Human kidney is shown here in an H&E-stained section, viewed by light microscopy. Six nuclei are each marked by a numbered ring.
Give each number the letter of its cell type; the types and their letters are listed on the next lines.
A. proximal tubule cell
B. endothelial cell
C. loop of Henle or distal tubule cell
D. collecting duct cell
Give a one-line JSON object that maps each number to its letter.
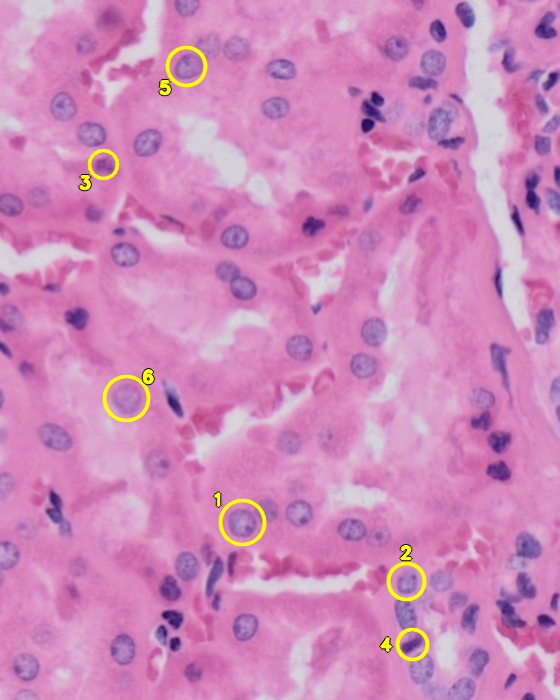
{"1": "A", "2": "D", "3": "A", "4": "D", "5": "A", "6": "A"}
